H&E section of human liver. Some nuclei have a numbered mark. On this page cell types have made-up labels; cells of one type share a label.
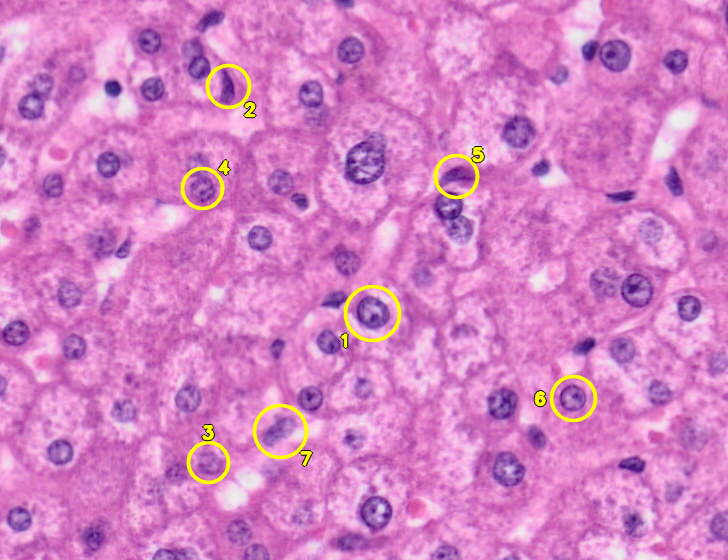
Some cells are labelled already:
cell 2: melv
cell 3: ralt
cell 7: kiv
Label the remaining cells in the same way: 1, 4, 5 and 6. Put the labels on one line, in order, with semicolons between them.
ralt; ralt; kiv; ralt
